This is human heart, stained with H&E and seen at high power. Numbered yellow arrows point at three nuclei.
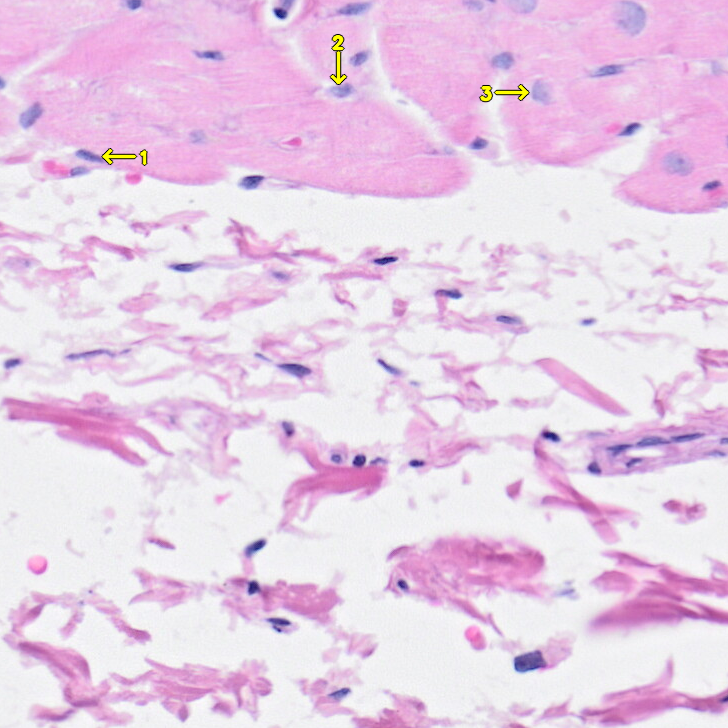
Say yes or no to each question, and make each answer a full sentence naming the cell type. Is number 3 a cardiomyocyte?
Yes, the cell labelled with number 3 is a cardiomyocyte.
